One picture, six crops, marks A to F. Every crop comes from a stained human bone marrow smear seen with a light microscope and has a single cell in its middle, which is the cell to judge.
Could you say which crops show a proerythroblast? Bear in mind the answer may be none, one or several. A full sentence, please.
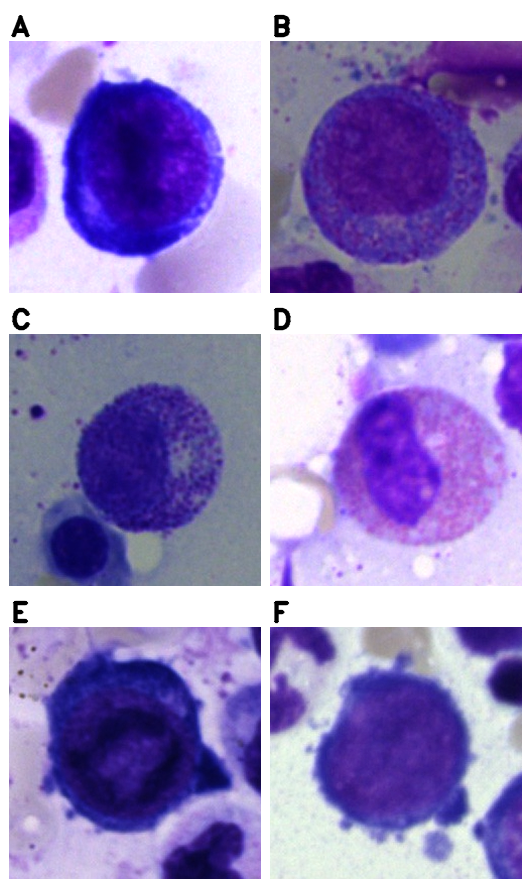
In this series, proerythroblasts are shown by crops A, E and F.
